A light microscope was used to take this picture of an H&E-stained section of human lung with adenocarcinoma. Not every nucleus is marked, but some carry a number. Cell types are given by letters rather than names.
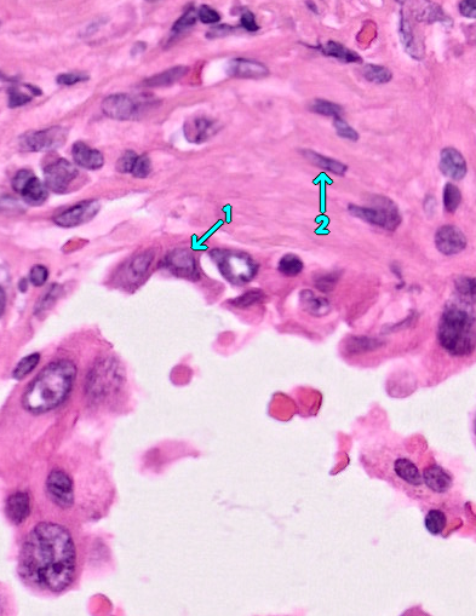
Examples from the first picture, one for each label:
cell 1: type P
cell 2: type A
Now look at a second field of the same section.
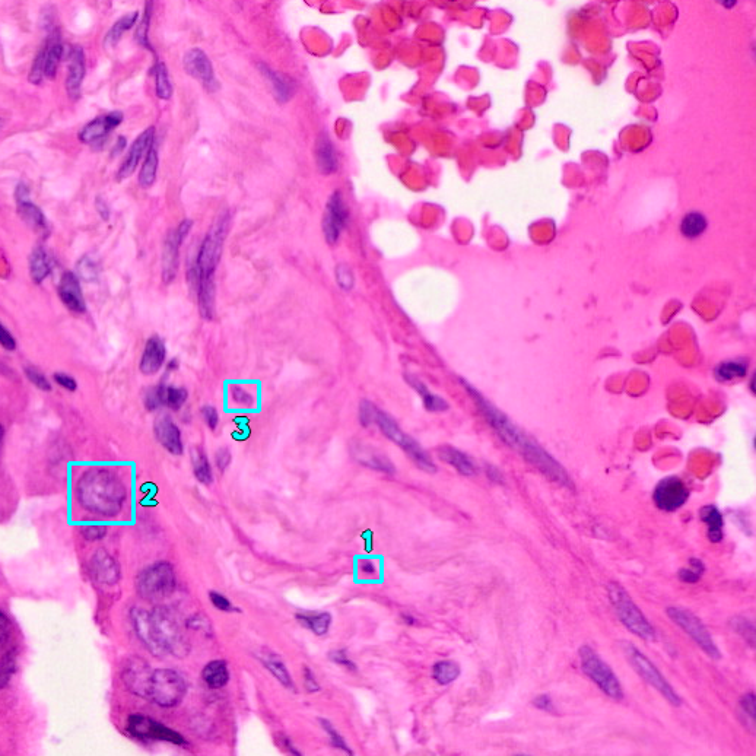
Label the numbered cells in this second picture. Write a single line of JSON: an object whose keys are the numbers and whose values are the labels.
{"1": "type A", "2": "type P", "3": "type A"}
